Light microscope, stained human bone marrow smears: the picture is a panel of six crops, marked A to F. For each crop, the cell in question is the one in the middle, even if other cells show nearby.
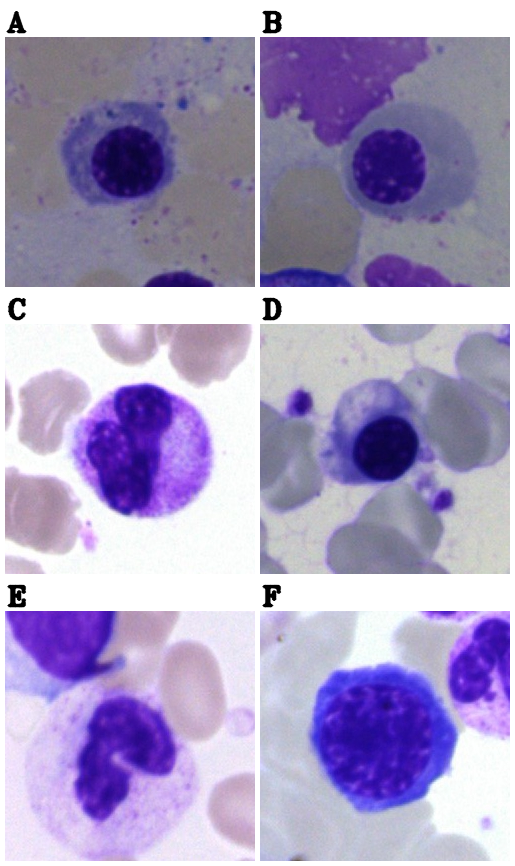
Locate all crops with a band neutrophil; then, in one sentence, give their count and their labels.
Among the crops there are no band neutrophils, so the count is zero.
